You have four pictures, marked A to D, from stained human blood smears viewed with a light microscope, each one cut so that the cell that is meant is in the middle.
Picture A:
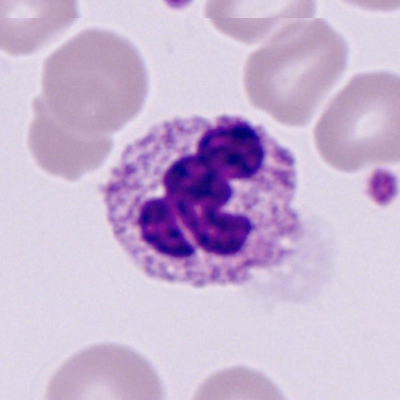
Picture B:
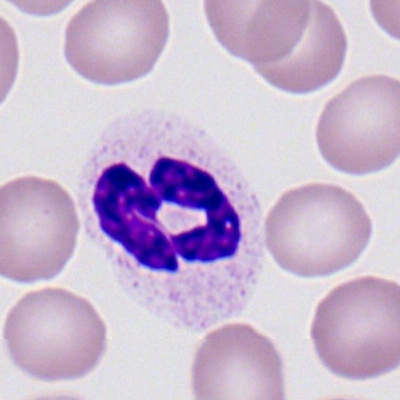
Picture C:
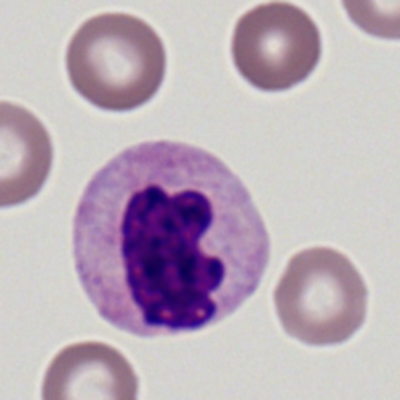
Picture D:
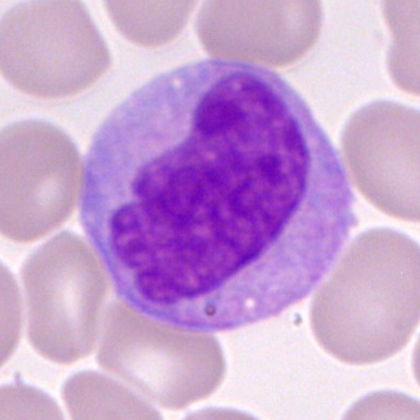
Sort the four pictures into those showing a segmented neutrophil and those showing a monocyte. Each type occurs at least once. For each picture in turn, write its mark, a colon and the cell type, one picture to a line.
A: segmented neutrophil
B: segmented neutrophil
C: segmented neutrophil
D: monocyte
